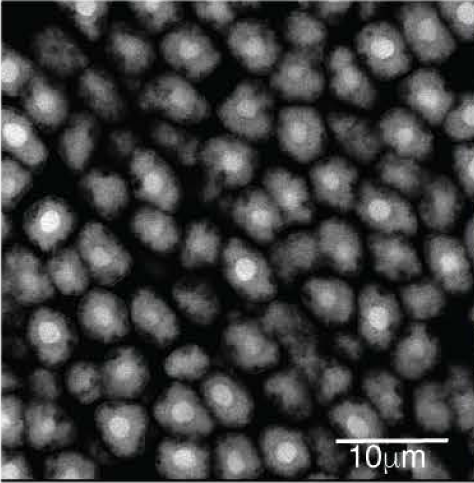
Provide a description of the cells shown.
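Nuclei of photoreceptor cells, stained grey-white, crowd the whole field in a tightly packed array. They are small, round to slightly oval and nearly uniform in size. Within many nuclei a single bright, compact chromatin clump sits near the centre, surrounded by a paler, more evenly stained zone, giving a target-like look. Narrow dark gaps separate neighbouring nuclei, and little cytoplasm is apparent between them. A few nuclei appear slightly out of the focal plane and blurred, but no nuclei of a clearly different shape or size are evident in the field.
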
